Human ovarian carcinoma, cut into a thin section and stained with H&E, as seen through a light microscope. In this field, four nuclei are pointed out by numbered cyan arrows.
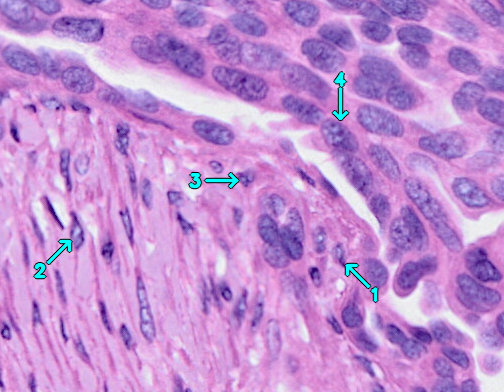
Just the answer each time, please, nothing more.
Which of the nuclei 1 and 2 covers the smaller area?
1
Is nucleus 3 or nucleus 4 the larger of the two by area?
4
